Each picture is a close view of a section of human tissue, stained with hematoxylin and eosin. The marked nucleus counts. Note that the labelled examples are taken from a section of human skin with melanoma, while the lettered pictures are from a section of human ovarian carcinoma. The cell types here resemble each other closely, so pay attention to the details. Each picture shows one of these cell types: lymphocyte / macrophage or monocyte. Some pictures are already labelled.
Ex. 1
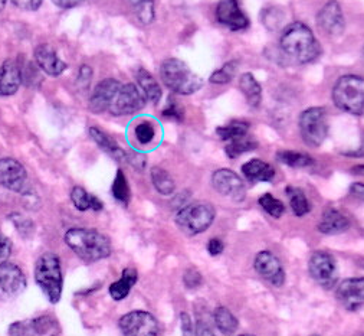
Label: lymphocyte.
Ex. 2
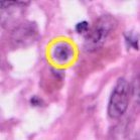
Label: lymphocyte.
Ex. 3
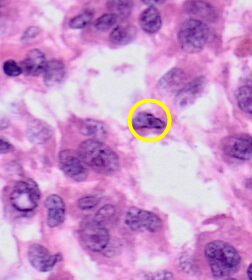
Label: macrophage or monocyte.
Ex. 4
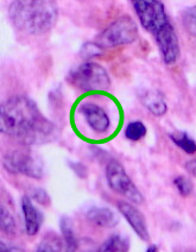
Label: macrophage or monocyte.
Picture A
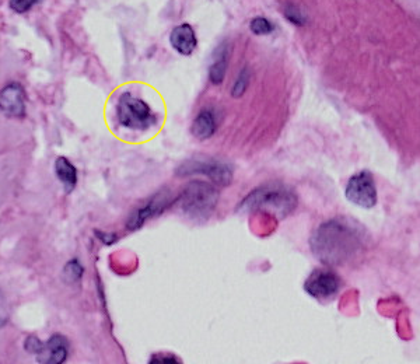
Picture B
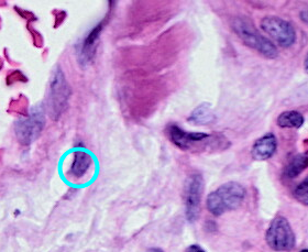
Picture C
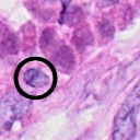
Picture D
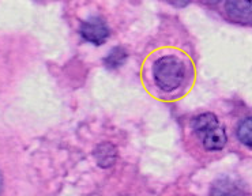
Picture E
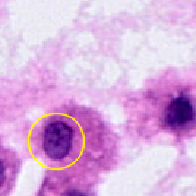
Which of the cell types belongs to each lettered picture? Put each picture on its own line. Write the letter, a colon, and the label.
A: macrophage or monocyte.
B: macrophage or monocyte.
C: macrophage or monocyte.
D: macrophage or monocyte.
E: macrophage or monocyte.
